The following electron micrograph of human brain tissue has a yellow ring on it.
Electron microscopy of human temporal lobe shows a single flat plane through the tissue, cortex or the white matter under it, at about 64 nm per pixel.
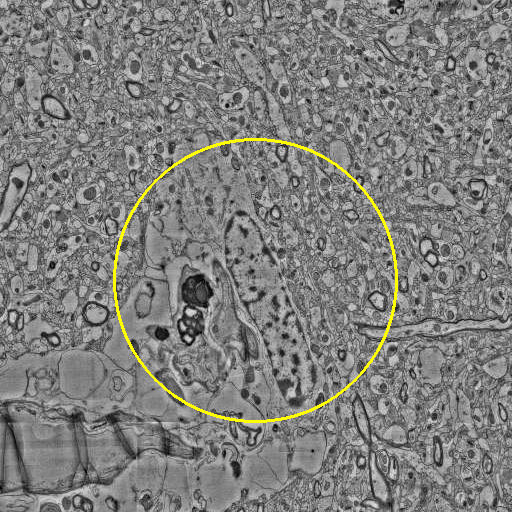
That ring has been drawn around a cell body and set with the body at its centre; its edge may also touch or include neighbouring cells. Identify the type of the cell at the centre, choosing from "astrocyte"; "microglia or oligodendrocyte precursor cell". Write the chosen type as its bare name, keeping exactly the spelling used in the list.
microglia or oligodendrocyte precursor cell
